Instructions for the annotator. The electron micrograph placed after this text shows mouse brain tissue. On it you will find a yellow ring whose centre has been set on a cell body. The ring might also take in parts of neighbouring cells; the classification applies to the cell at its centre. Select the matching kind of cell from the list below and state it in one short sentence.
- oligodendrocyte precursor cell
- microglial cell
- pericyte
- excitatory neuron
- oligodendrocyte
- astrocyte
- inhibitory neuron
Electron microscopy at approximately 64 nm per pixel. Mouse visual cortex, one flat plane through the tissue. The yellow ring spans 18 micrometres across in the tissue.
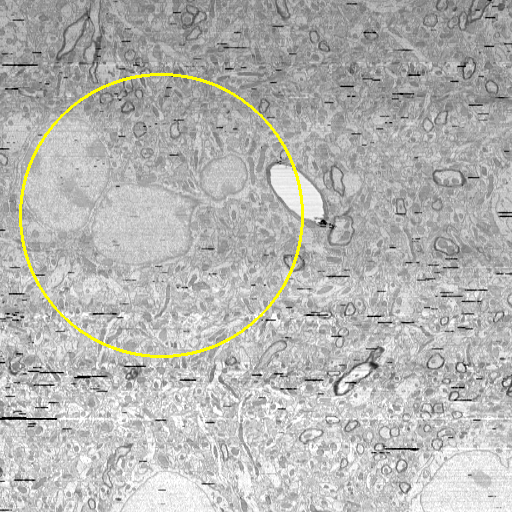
The ring is drawn on the cell body of an astrocyte.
